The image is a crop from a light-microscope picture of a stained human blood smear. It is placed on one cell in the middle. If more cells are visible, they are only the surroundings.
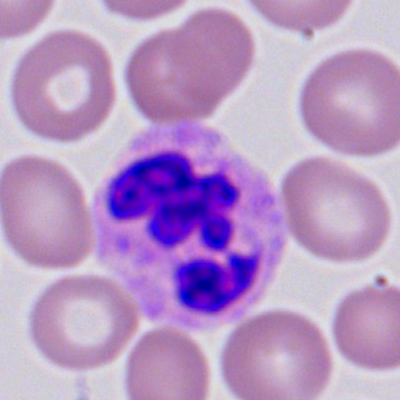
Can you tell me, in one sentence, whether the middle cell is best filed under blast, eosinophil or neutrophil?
At the middle of the frame sits a neutrophil.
